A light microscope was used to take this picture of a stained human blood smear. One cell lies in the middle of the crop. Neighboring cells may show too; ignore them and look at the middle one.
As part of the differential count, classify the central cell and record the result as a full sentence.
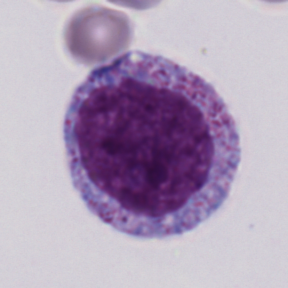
Looking at the middle of the crop, the cell there is a promyelocyte.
